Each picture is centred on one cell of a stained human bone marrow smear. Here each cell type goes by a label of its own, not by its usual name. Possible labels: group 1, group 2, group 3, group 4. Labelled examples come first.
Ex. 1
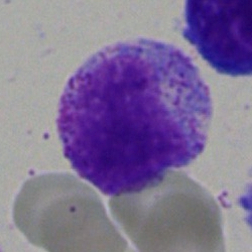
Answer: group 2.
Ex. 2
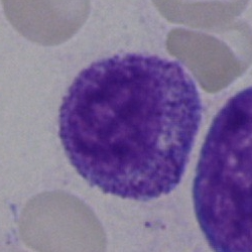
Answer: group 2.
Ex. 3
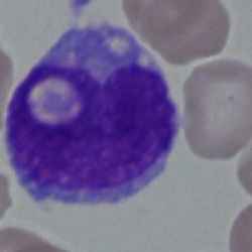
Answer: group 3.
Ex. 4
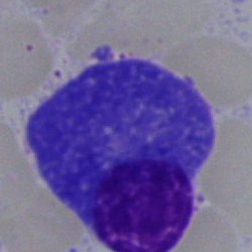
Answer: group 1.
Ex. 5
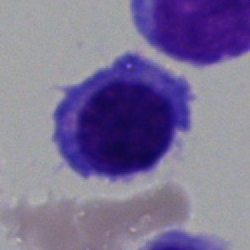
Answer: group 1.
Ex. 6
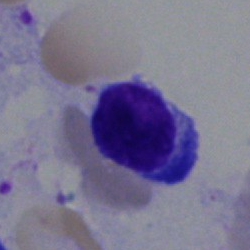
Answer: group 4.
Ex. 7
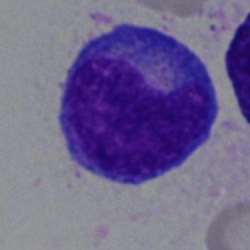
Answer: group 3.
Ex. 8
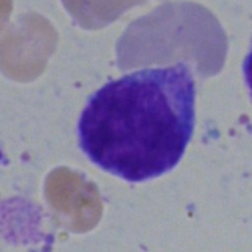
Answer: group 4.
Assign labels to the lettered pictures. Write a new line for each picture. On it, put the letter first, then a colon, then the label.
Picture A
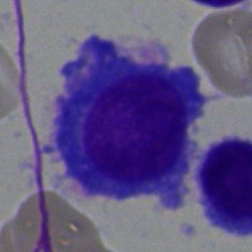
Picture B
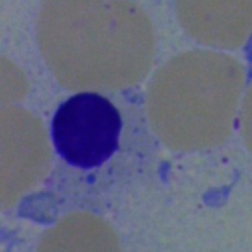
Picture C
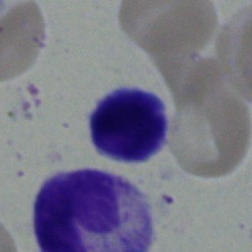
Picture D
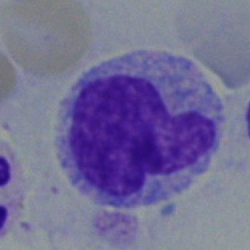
A: group 1.
B: group 4.
C: group 4.
D: group 3.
